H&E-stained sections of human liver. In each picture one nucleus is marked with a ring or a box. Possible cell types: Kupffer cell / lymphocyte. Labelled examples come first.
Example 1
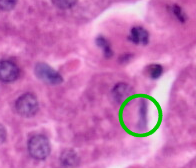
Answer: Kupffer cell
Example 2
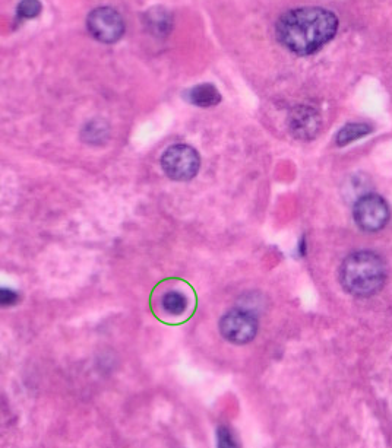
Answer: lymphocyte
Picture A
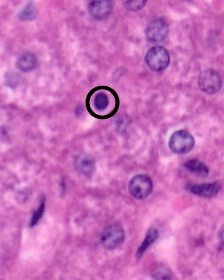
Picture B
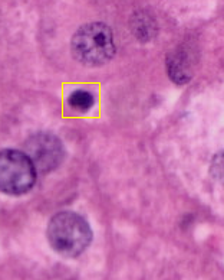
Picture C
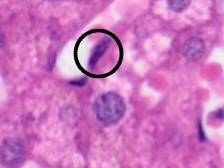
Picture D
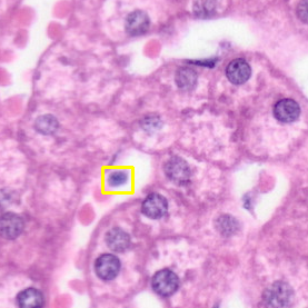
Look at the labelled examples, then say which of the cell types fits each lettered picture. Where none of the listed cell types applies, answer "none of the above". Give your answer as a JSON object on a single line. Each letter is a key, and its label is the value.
{"A": "lymphocyte", "B": "lymphocyte", "C": "Kupffer cell", "D": "lymphocyte"}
